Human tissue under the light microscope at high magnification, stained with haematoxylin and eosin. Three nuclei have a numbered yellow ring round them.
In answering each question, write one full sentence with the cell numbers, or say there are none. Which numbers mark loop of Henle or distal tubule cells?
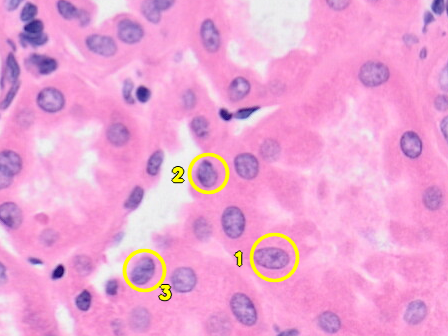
Within the section, cells numbered 2 and 3 are loop of Henle or distal tubule cells.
